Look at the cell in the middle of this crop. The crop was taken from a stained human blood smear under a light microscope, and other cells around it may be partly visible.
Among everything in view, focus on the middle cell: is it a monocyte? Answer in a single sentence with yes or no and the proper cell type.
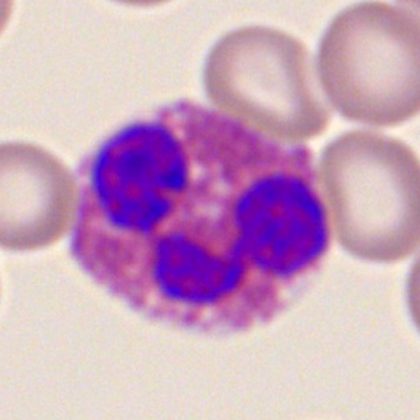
No, it is an eosinophil rather than a monocyte that the middle of the crop contains.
